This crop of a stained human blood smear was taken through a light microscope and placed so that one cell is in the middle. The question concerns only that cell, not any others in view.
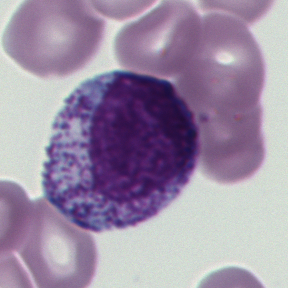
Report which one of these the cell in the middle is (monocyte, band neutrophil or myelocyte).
myelocyte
